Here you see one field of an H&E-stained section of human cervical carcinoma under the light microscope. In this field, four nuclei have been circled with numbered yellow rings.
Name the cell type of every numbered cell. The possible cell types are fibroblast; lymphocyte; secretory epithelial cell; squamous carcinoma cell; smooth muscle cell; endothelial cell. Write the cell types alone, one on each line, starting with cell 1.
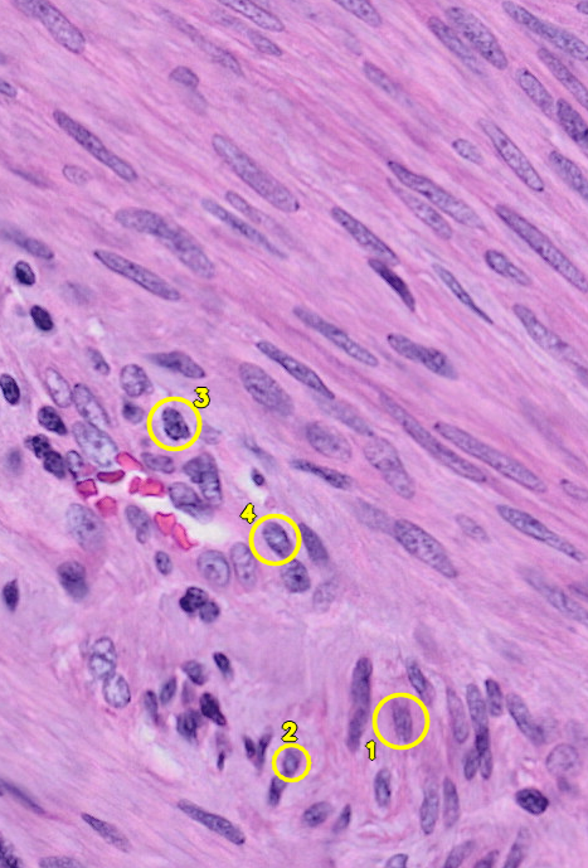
smooth muscle cell
smooth muscle cell
lymphocyte
smooth muscle cell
